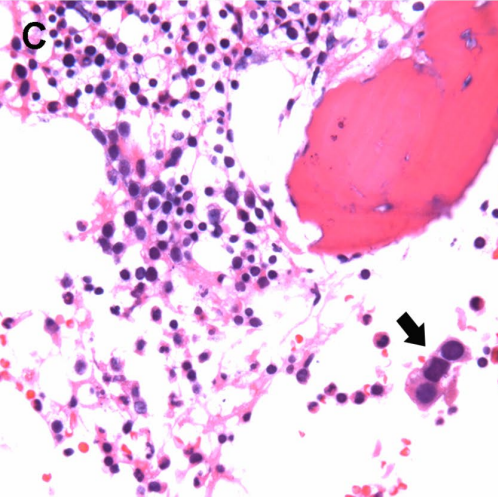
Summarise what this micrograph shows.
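This bone marrow biopsy shows marrow tissue beside a bright pink bony trabecula. Small hematopoietic cells with round dark nuclei fill the spaces between clear fat spaces and loose pink stroma. Red blood cells are scattered near the bone. Apart from the marrow cells lies a small group of tumor cells that are much larger, with large dark nuclei and purple cytoplasm.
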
